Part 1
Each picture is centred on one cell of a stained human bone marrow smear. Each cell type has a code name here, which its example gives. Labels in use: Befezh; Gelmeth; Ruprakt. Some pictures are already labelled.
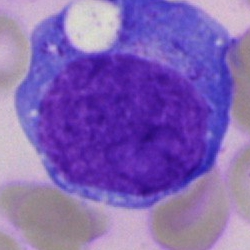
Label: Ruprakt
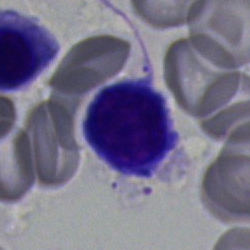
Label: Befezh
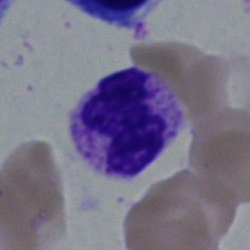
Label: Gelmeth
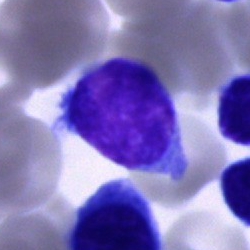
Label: Befezh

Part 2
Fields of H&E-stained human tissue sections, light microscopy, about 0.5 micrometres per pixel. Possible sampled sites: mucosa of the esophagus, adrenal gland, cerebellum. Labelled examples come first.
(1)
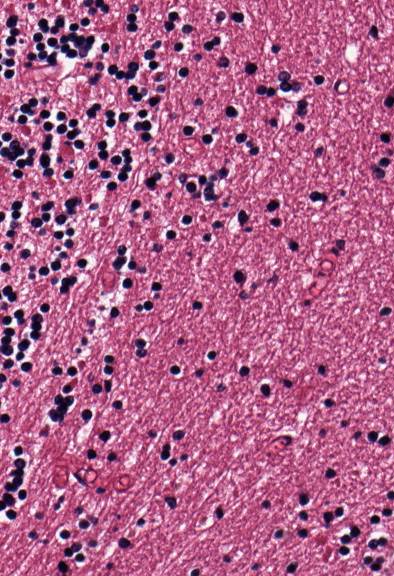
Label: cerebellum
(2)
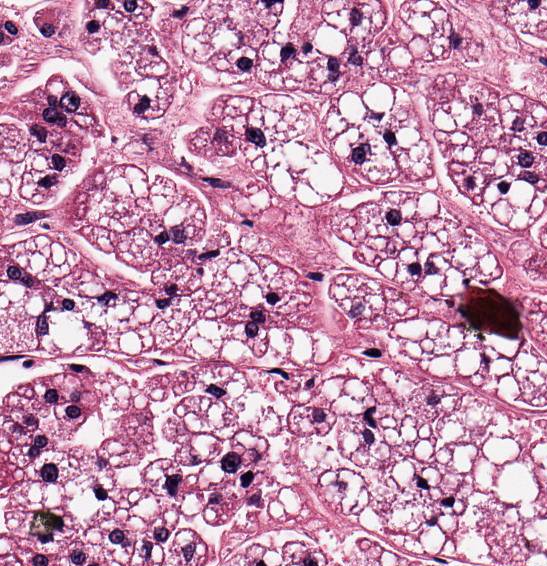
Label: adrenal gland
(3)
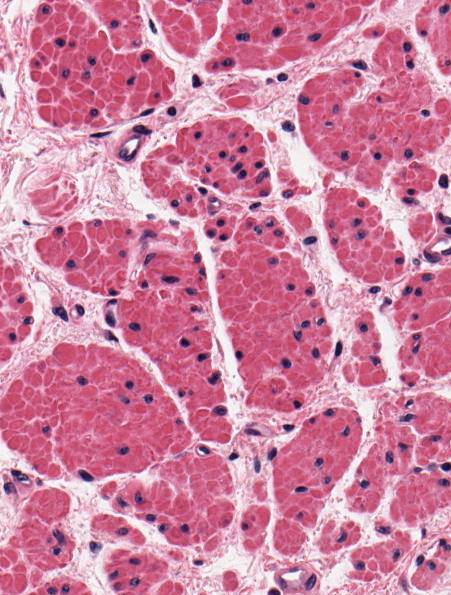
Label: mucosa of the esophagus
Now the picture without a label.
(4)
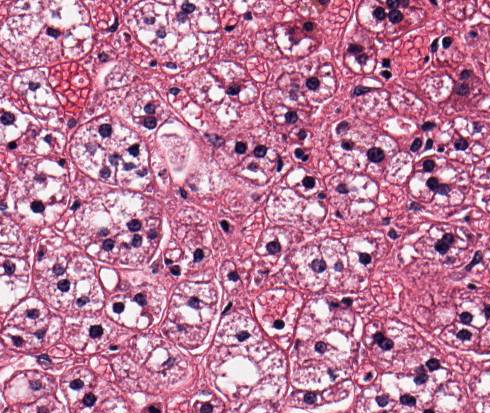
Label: adrenal gland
